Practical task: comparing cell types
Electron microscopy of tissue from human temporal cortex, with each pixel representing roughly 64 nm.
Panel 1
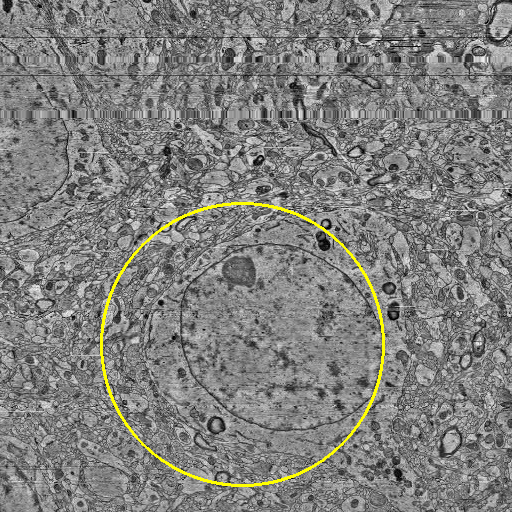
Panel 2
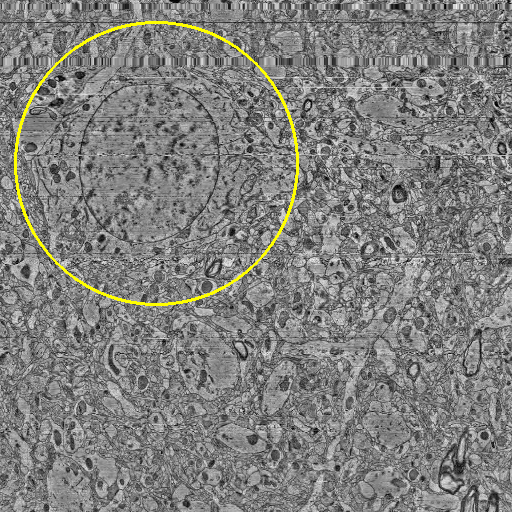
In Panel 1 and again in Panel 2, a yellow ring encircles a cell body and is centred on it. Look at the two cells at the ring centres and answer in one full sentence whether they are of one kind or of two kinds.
The two cells sitting at the ring centres of Panels 1 and 2 are of one kind.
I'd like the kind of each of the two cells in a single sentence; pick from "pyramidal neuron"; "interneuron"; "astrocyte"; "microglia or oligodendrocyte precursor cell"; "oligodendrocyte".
Each cell at the centre of a ring is a pyramidal neuron.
